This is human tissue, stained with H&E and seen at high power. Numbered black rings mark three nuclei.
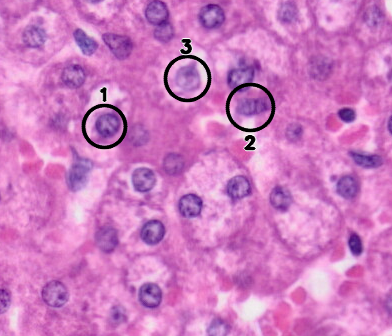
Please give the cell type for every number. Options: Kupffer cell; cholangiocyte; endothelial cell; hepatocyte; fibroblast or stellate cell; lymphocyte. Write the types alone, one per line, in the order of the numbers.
hepatocyte
Kupffer cell
hepatocyte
